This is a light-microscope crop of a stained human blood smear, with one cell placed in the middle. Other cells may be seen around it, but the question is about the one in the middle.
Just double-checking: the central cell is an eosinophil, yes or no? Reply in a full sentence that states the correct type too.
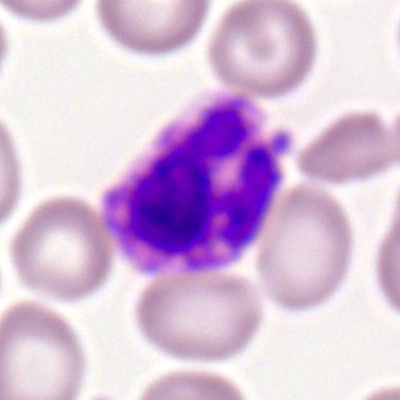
No, the correct answer for the middle cell is a basophil, not an eosinophil.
